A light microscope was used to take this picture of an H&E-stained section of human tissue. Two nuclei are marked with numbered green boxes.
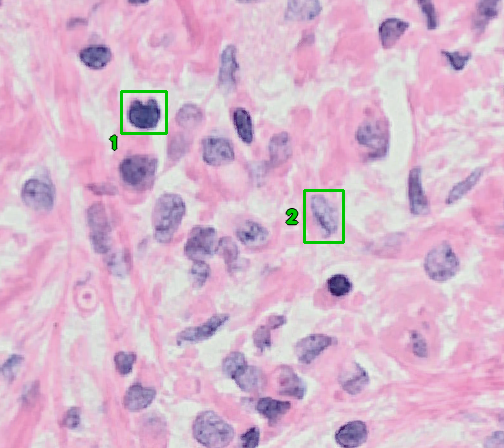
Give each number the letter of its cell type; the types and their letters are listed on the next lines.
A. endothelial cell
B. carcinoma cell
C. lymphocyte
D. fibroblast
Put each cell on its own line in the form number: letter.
1: C
2: D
